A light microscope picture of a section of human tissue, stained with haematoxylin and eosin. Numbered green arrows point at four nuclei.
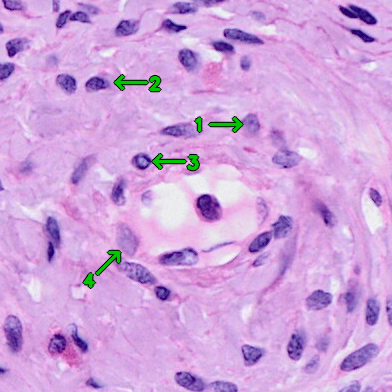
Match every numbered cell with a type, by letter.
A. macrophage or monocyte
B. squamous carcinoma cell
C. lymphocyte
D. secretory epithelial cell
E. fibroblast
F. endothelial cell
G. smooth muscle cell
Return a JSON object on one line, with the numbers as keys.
{"1": "G", "2": "E", "3": "G", "4": "F"}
